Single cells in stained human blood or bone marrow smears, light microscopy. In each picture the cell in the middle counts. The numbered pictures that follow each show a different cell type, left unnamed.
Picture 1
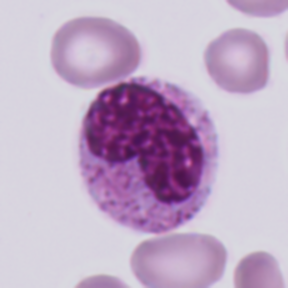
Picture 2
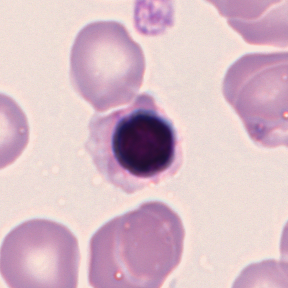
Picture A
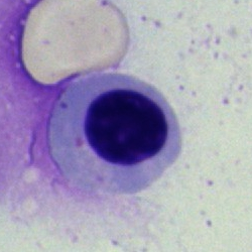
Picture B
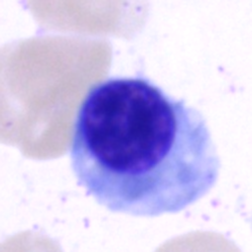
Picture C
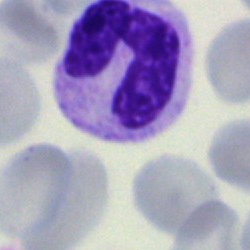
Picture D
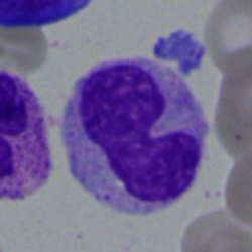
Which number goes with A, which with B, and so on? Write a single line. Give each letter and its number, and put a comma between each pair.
A 2, B 2, C 1, D 1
